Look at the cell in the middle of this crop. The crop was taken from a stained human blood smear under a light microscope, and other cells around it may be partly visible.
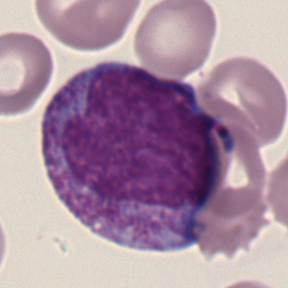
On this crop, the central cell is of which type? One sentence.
Within this crop, a promyelocyte occupies the central position.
